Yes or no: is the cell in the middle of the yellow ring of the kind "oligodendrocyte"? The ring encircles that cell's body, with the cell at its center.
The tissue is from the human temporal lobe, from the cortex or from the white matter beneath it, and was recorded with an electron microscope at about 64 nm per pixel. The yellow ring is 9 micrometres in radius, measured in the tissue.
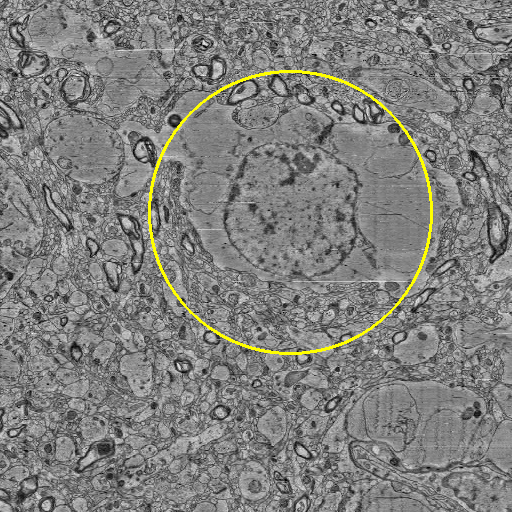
no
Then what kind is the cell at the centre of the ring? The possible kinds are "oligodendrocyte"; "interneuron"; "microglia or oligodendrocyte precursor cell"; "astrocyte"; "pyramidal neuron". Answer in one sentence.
The cell at the middle of the ring is an astrocyte.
